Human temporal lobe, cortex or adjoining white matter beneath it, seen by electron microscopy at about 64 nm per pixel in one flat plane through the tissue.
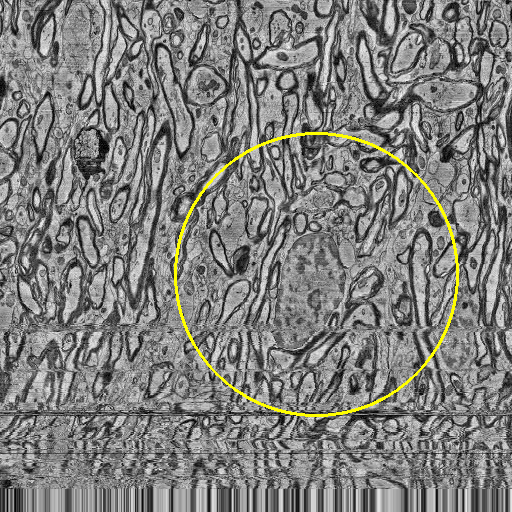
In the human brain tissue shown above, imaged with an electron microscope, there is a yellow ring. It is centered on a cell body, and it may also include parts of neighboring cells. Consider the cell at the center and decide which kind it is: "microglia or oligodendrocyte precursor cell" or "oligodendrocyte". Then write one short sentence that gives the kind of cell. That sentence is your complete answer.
This centered cell body is that of a microglial cell or oligodendrocyte precursor cell.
